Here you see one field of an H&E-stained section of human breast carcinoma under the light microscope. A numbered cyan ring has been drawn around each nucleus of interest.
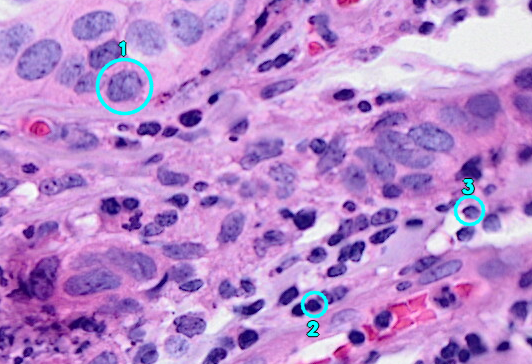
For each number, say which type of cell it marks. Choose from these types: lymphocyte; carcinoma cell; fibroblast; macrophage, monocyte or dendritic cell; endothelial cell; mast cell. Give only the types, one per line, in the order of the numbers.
carcinoma cell
lymphocyte
lymphocyte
